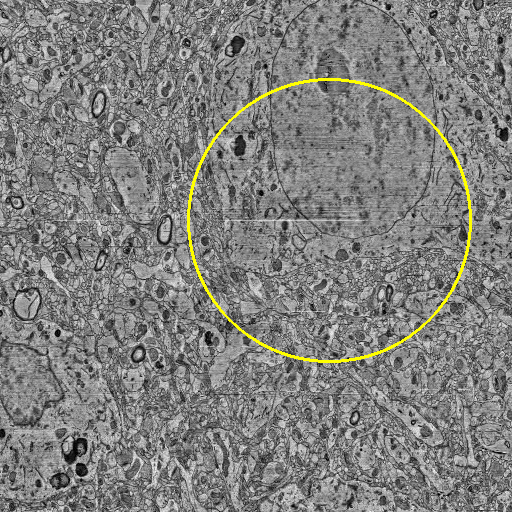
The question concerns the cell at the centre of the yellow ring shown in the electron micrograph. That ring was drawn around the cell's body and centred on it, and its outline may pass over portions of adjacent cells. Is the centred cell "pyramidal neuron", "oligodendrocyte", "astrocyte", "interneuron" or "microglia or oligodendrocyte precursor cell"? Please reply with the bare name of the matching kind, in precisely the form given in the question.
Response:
pyramidal neuron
